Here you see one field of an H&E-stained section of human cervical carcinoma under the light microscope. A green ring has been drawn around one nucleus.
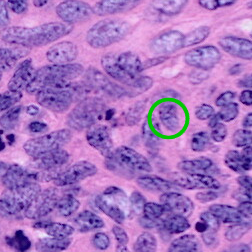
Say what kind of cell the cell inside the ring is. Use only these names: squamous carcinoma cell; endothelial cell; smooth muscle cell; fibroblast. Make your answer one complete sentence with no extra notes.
By cell type, the cell inside the ring is a squamous carcinoma cell.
